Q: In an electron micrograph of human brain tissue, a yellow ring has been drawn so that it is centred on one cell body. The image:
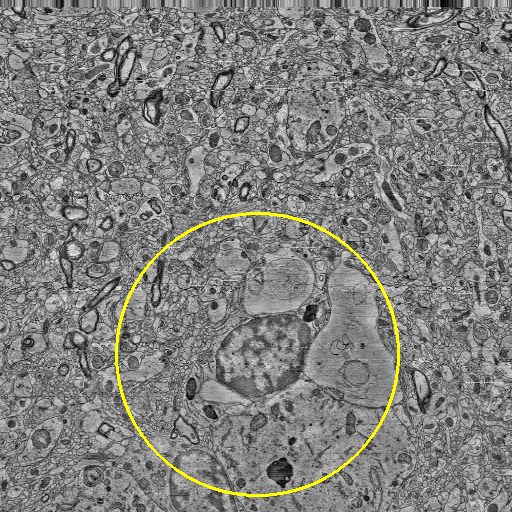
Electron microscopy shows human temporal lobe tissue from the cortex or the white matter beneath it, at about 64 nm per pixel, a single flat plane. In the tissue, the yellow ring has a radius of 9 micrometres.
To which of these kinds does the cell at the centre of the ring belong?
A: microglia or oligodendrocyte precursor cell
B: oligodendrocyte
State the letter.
A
